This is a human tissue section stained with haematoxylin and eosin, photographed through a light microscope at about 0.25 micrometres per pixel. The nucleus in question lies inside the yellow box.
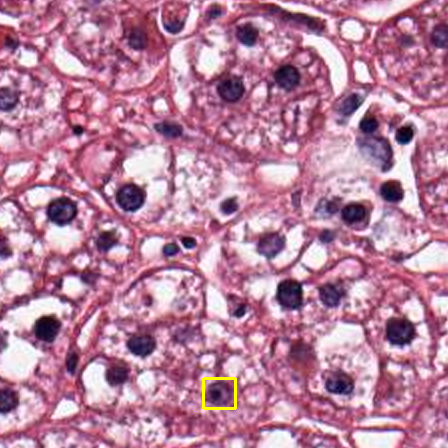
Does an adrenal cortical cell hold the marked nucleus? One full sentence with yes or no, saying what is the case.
Yes, in the picture the marked nucleus belongs to an adrenal cortical cell.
